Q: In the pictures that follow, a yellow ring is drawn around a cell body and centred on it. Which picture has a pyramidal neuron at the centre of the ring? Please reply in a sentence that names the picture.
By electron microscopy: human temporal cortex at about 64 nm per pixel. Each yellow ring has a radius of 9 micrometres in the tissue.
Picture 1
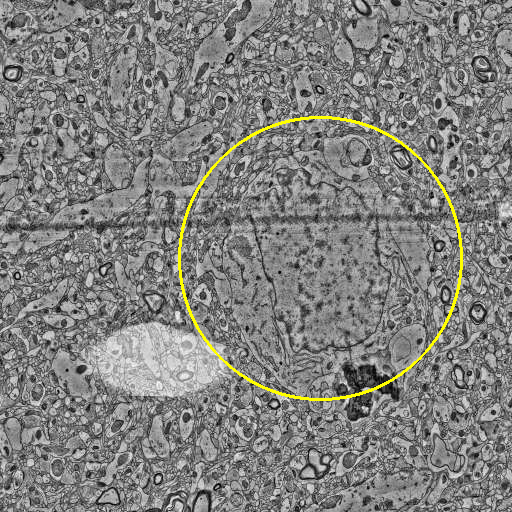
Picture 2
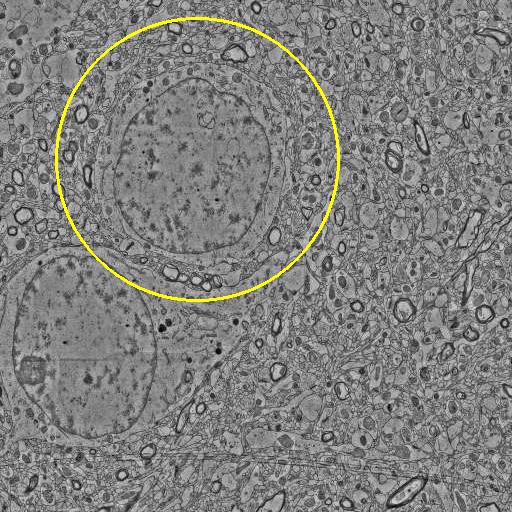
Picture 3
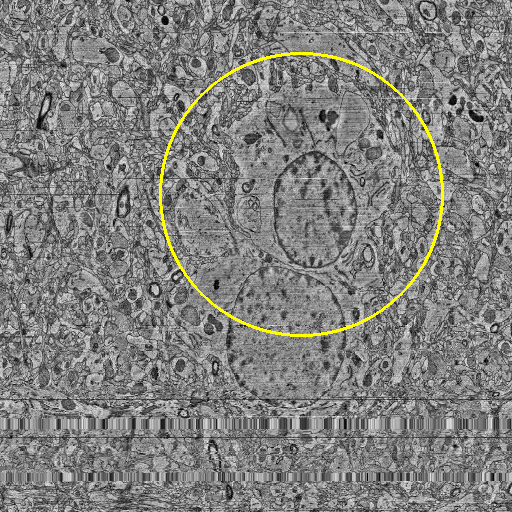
Picture 2 shows it at the centre of its ring.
